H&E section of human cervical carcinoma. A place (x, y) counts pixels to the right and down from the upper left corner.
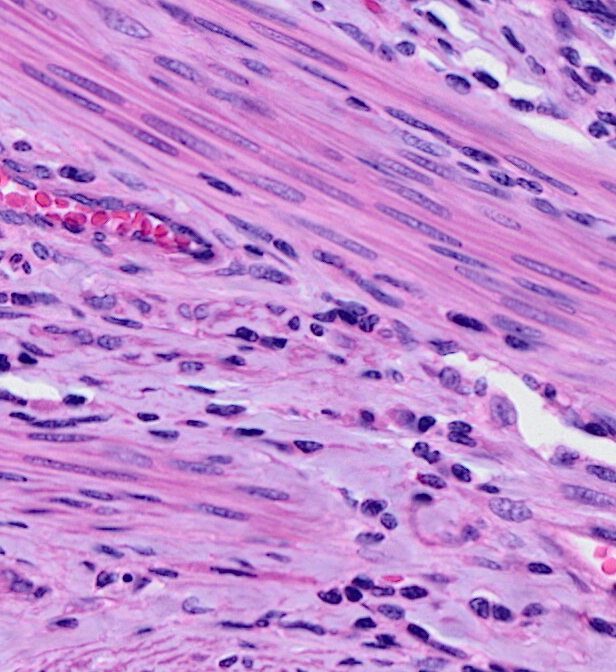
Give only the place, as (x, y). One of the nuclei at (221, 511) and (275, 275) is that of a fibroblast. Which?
(275, 275)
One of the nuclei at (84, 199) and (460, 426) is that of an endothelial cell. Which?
(84, 199)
